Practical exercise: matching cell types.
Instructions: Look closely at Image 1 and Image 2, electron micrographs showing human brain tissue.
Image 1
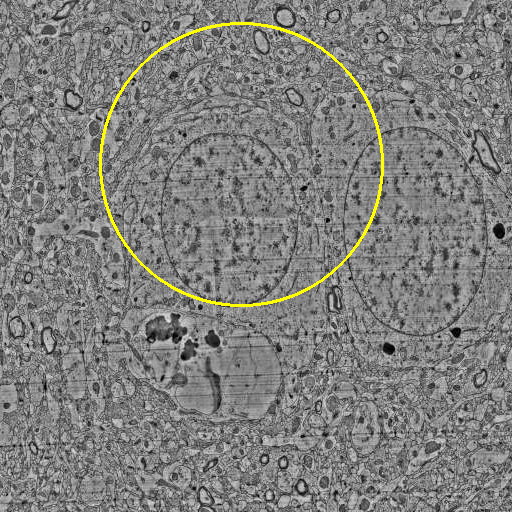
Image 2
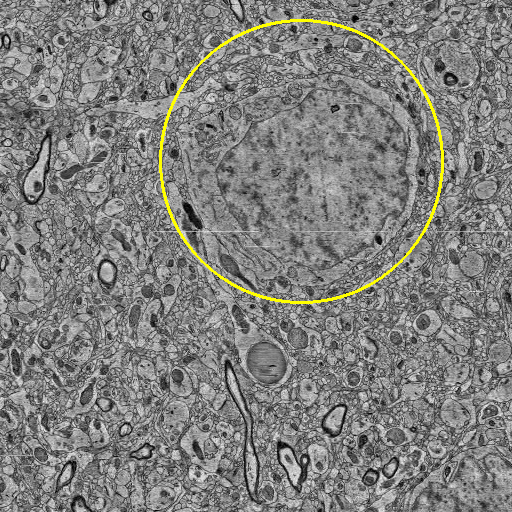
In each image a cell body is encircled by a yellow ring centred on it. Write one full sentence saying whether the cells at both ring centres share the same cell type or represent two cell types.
Across Image 1 and Image 2, the cells at the ring centres represent two cell types.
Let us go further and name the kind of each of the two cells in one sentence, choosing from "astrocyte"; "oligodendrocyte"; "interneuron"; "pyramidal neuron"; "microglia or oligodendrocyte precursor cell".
The ring of the first picture is on a pyramidal neuron, the ring of the second on an interneuron.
